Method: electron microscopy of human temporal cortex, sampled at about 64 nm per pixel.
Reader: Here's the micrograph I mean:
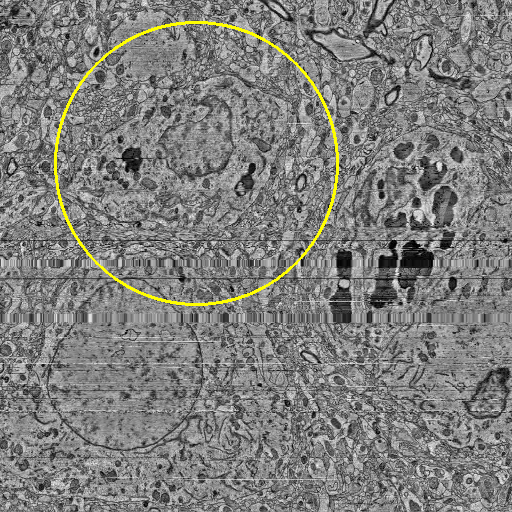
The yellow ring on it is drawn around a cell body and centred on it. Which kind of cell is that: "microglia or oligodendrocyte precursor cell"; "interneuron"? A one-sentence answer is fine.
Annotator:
The ring is centred on an interneuron.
